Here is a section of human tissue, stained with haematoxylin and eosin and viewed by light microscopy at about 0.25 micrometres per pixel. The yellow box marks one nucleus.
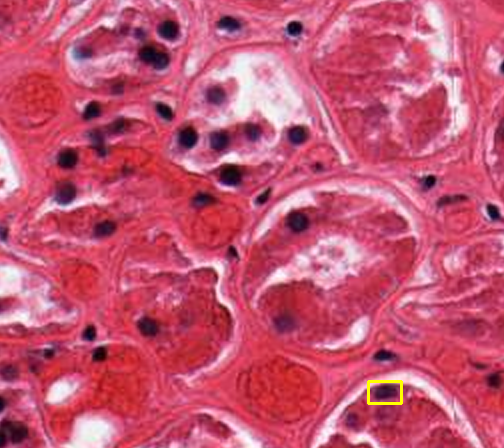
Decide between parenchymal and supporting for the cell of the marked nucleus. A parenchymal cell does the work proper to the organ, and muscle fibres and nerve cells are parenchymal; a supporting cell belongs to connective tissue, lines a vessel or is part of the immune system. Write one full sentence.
The marked nucleus belongs to one of the parenchymal cells, namely a proximal tubule cell.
